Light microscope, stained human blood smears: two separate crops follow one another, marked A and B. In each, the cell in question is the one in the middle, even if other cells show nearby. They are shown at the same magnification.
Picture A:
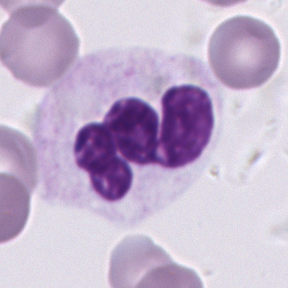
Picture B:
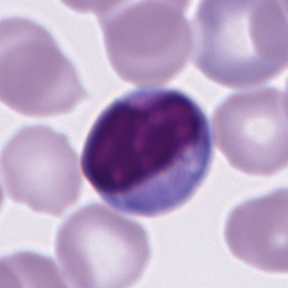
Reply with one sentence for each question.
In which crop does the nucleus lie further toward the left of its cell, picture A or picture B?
In picture B the nucleus is shifted more toward the left.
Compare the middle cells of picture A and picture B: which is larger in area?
It is the cell in picture A, about 2 times as large in area as the cell in picture B.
